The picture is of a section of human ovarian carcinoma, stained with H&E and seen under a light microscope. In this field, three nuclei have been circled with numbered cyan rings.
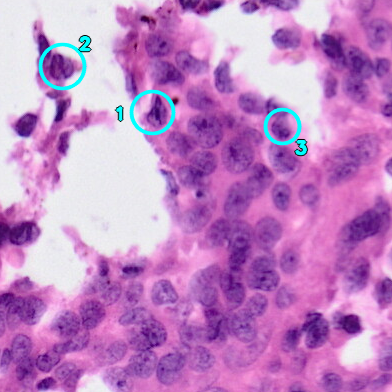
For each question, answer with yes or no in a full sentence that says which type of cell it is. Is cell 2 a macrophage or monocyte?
No, cell 2 is classified as a carcinoma cell rather than a macrophage or monocyte.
